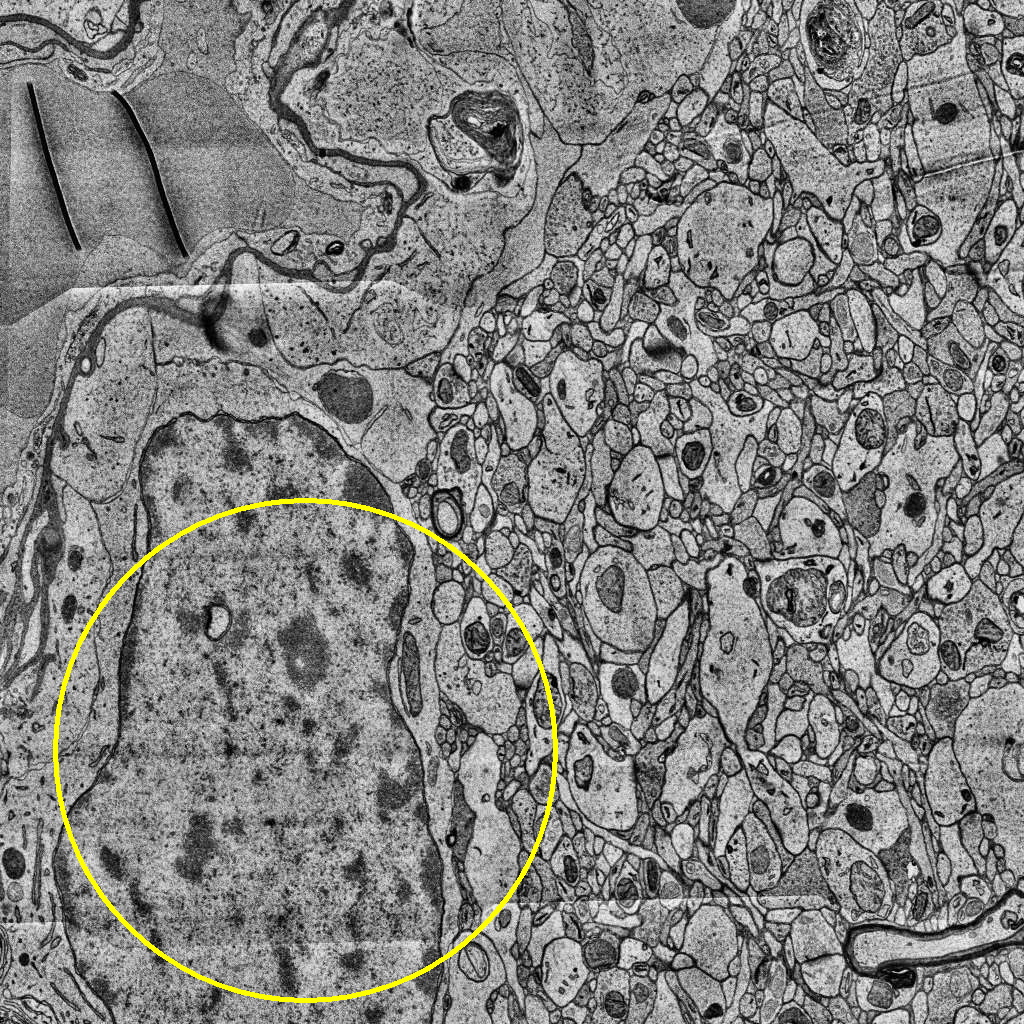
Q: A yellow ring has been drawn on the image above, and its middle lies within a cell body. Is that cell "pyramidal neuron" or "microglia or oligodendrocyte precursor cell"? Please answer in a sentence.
The ring's middle lies in the cell body of a microglial cell or oligodendrocyte precursor cell.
